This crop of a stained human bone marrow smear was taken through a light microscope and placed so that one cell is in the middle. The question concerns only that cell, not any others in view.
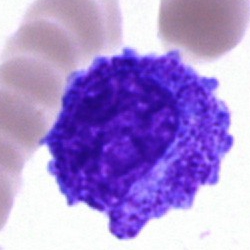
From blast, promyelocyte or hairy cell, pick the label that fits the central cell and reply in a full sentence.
The center cell of this crop is a promyelocyte.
